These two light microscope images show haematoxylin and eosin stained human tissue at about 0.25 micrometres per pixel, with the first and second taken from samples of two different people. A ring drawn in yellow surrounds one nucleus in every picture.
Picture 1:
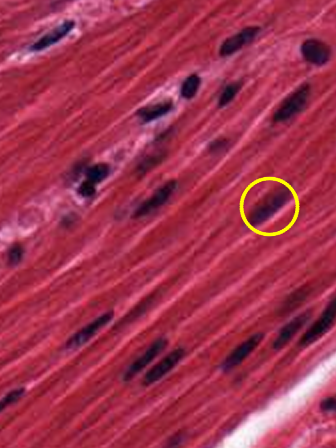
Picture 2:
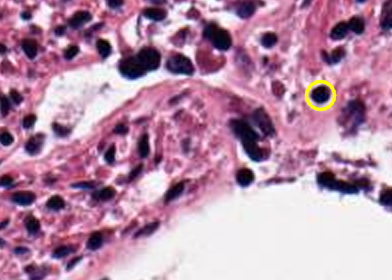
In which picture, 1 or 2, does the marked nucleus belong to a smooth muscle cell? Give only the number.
1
